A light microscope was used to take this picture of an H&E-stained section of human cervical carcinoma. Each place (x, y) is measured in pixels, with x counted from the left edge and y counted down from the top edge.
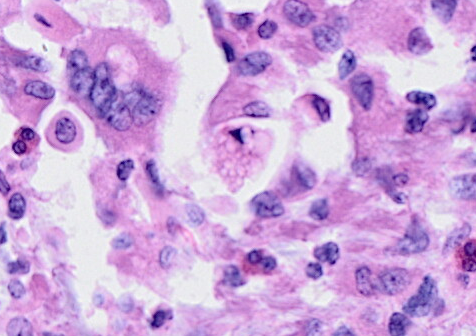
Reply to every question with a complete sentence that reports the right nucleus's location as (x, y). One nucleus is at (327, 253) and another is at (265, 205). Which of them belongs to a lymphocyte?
The cell to which the nucleus at (327, 253) belongs is a lymphocyte.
